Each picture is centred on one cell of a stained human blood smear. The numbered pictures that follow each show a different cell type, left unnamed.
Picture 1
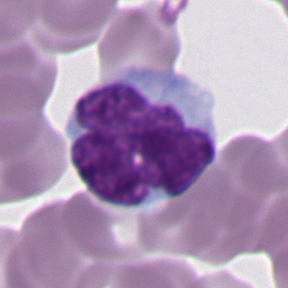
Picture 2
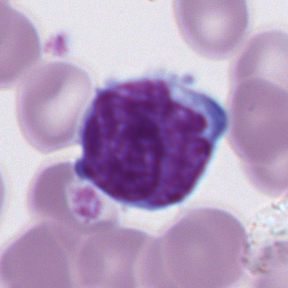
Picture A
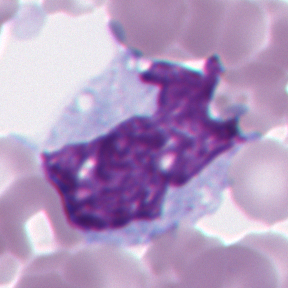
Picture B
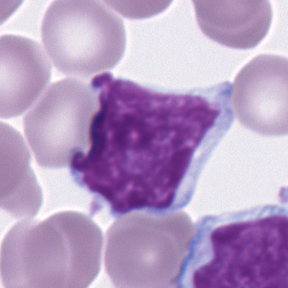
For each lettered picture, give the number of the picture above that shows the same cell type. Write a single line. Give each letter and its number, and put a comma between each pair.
A 1, B 2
